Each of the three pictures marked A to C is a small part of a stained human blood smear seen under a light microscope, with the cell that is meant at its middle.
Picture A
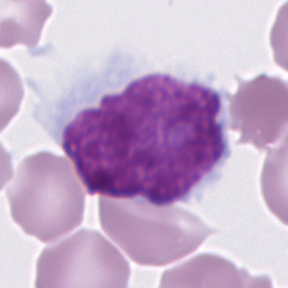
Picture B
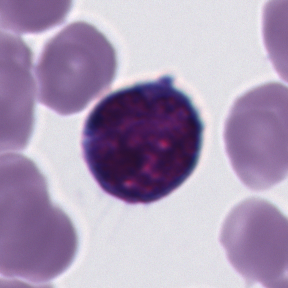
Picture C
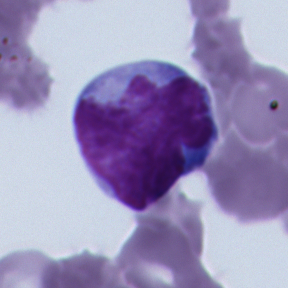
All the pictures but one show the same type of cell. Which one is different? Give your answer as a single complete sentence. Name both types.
The different one is picture A; it shows a hairy cell, whereas all the others show myeloblasts.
